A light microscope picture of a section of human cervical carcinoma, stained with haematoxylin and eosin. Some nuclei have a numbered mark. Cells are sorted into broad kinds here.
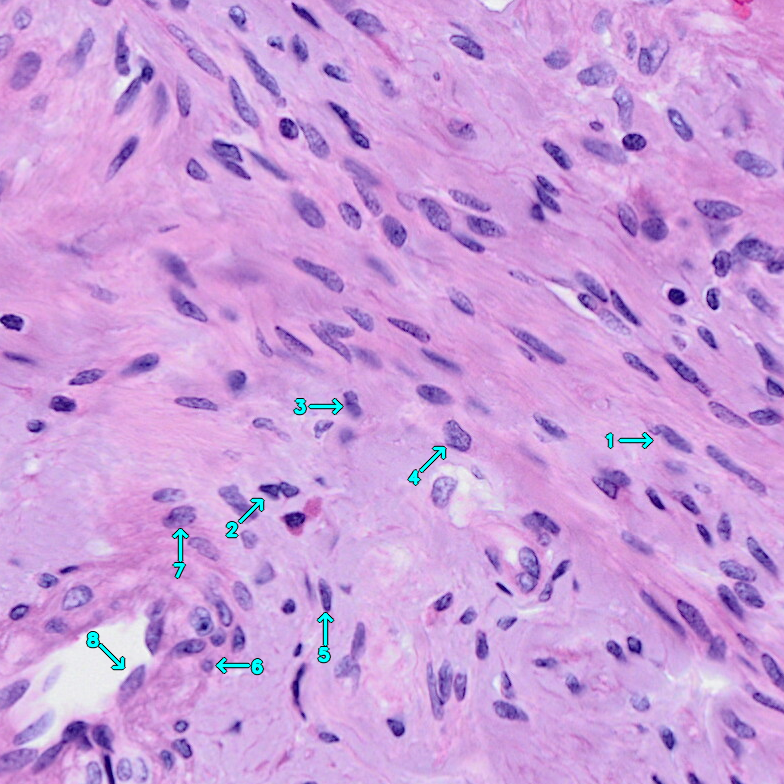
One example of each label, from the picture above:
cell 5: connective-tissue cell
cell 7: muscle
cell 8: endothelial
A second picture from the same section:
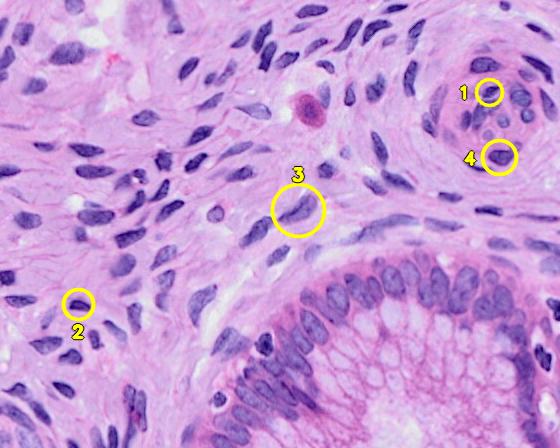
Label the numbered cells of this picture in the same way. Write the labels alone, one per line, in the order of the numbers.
endothelial
connective-tissue cell
connective-tissue cell
muscle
